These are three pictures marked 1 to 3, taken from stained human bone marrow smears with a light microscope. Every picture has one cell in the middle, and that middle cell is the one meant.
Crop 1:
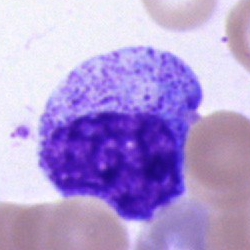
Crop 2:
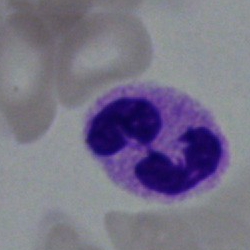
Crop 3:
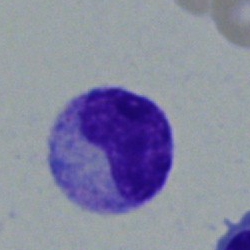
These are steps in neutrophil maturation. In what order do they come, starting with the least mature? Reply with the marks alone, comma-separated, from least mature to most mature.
1, 3, 2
